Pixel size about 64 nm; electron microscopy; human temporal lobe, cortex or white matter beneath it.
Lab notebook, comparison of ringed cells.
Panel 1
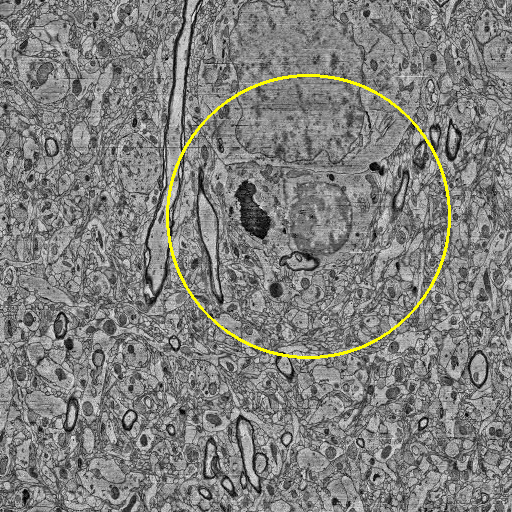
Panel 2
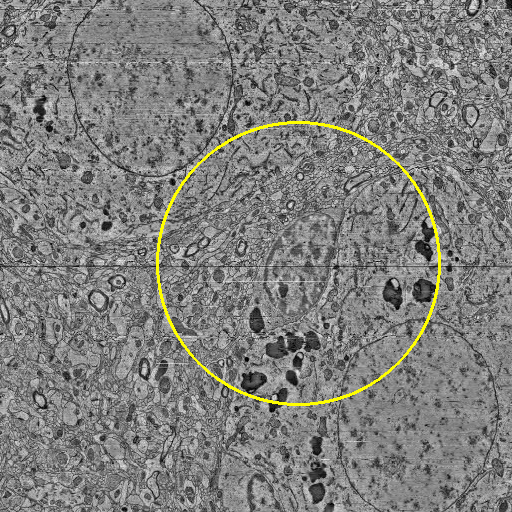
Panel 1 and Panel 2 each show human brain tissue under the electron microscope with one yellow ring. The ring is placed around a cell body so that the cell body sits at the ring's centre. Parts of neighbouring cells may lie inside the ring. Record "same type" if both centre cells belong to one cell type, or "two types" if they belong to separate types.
same type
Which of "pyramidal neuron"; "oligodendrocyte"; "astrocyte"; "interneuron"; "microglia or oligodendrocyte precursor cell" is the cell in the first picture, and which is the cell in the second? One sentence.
Each of the two cells is an oligodendrocyte.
